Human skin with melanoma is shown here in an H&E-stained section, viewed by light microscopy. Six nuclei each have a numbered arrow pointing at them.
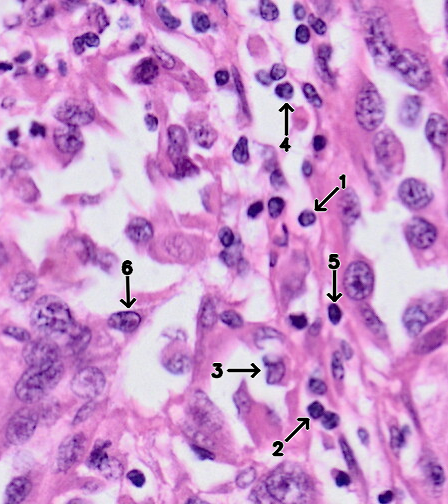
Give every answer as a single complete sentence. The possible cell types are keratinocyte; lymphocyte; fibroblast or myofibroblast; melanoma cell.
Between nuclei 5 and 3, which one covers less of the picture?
The smaller nucleus is 5, and 3 covers roughly 2 times its area.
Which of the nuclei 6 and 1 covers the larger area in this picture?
Nucleus 6 is the larger one, covering about 2 times the area of nucleus 1.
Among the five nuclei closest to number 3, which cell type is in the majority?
Most of the five nuclei nearest to number 3 are those of melanoma cells.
